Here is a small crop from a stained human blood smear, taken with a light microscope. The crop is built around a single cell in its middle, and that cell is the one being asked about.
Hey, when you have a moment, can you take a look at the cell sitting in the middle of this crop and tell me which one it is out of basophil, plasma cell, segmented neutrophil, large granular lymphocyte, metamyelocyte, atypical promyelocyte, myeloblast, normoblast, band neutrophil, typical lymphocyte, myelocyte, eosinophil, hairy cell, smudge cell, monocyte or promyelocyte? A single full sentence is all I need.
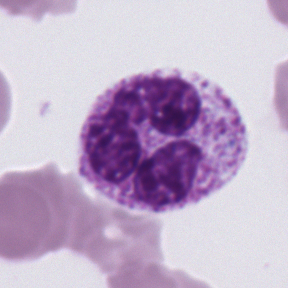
Standing at the centre of this crop is a segmented neutrophil.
